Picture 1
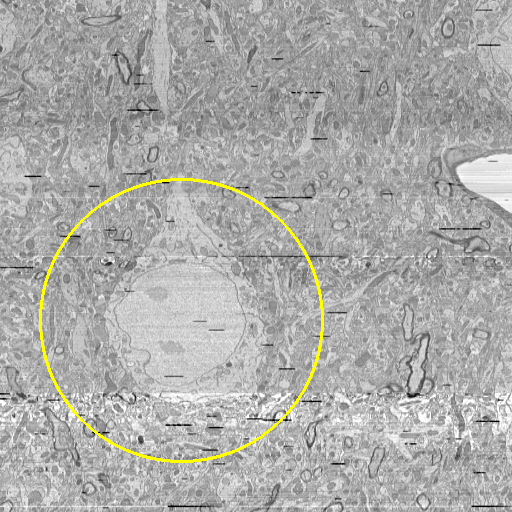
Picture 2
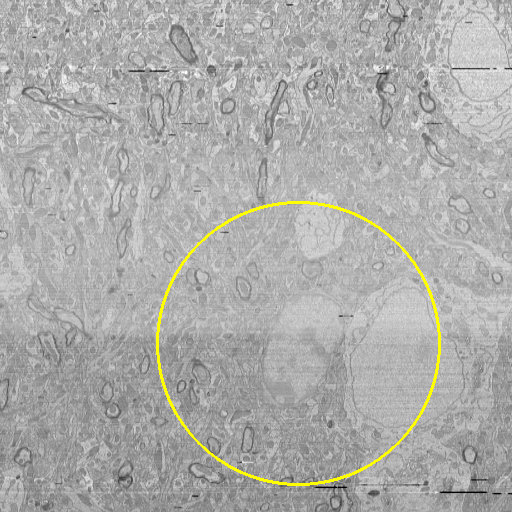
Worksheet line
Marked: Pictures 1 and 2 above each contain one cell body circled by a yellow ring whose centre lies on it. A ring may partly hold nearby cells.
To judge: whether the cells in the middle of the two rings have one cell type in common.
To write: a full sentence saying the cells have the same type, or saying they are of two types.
The cells in the middle of the rings in Picture 1 and Picture 2 are of two types.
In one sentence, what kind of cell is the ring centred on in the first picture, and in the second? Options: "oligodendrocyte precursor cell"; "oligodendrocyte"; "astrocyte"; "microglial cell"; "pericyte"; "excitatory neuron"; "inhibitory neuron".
The cell at the centre of the second ring is an oligodendrocyte; the first ring's cell is an excitatory neuron.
